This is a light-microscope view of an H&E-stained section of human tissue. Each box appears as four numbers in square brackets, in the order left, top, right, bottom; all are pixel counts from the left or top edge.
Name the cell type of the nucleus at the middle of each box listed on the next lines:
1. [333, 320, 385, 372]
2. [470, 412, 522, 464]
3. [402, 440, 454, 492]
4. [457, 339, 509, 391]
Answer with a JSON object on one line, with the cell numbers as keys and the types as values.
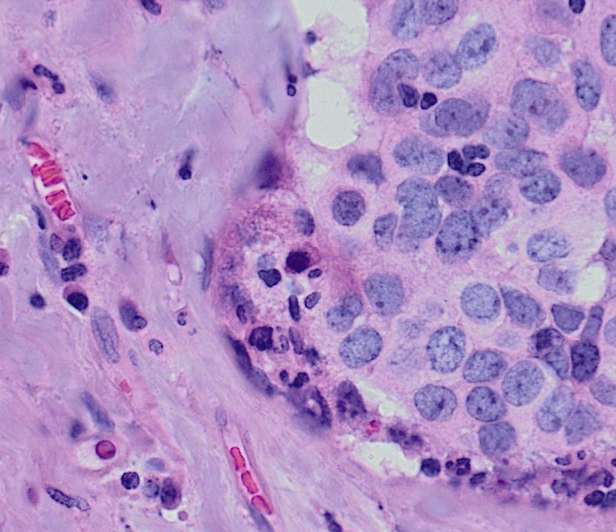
{"1": "carcinoma cell", "2": "carcinoma cell", "3": "lymphocyte", "4": "carcinoma cell"}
